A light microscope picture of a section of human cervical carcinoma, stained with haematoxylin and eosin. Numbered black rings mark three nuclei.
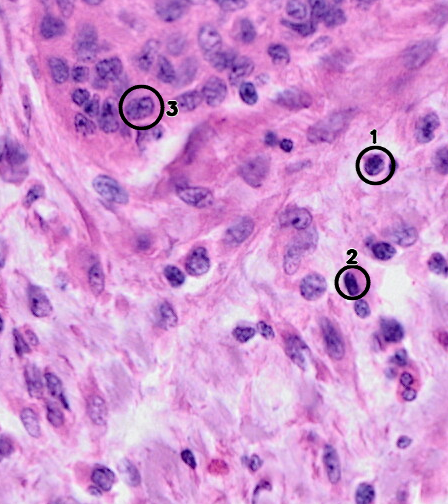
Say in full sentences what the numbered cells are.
Cell 1 is a lymphocyte, cell 2 is a lymphocyte and cell 3 is a squamous carcinoma cell.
